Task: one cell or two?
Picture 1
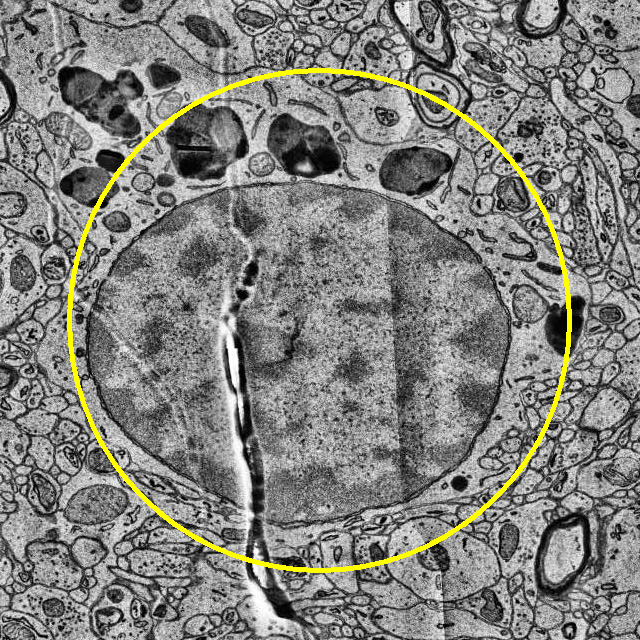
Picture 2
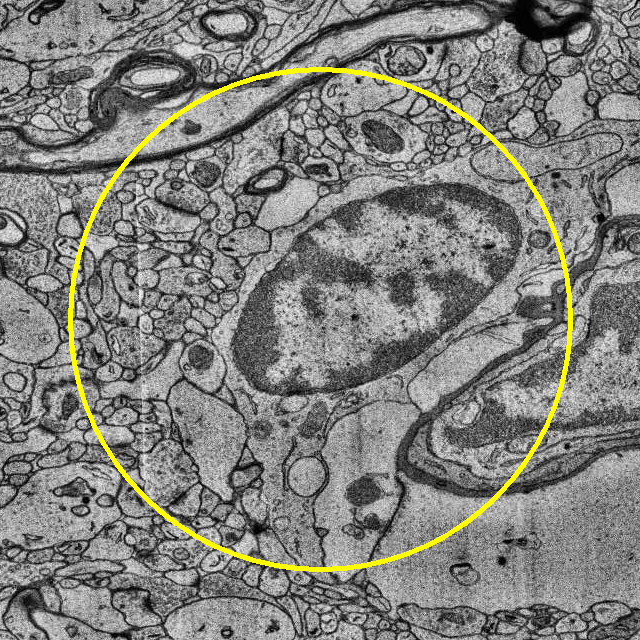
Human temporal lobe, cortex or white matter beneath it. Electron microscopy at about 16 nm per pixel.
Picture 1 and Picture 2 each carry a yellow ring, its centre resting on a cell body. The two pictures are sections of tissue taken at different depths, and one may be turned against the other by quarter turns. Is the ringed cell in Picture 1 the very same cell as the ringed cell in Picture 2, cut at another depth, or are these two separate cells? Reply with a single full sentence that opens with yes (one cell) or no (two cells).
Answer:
No, the circled cells number two, not one.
